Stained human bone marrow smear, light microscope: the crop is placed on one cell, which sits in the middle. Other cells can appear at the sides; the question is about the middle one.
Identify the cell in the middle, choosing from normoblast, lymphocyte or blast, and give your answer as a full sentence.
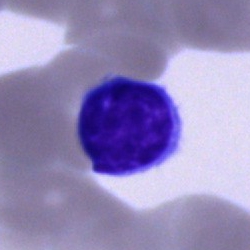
The centered cell in this crop is a lymphocyte.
